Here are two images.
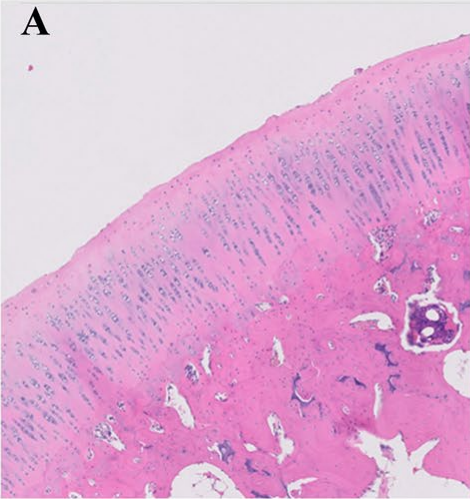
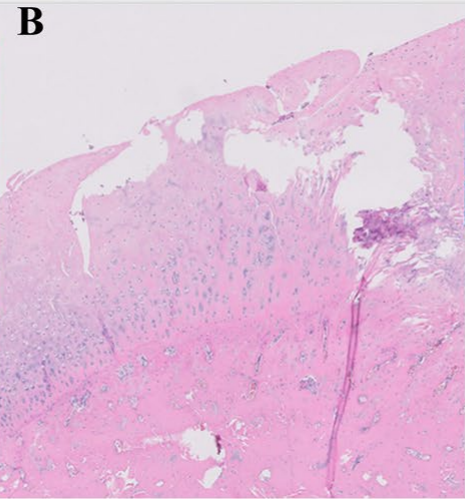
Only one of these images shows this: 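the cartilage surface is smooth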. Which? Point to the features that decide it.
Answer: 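Second image: the surface is ragged, with gaps and clefts breaking into the cartilage. First image: the surface forms a smooth, continuous line. The answer: the first image.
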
